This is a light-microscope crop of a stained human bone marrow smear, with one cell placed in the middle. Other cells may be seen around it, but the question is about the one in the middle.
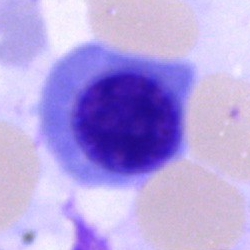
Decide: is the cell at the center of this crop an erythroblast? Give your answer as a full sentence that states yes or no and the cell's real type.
Yes, the middle cell is properly termed an erythroblast.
